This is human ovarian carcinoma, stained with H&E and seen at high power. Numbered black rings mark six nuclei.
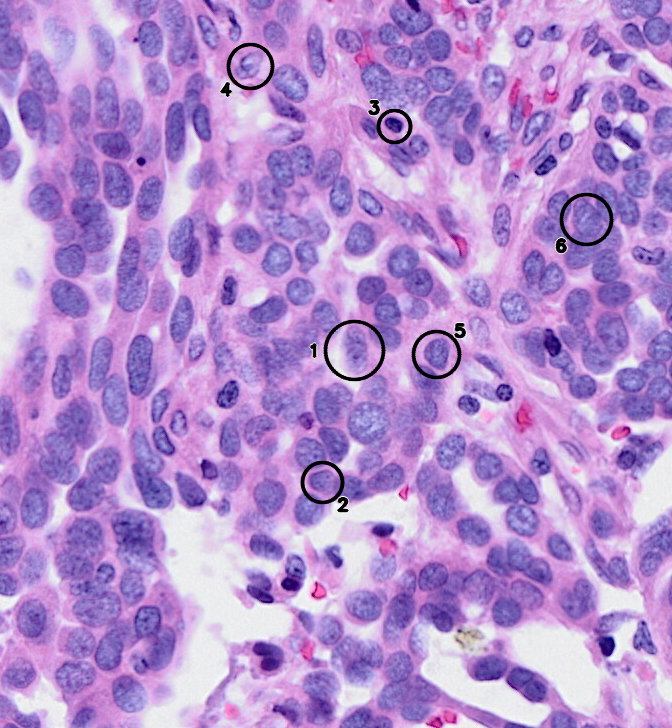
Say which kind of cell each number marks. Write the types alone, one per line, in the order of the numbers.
carcinoma cell
carcinoma cell
lymphocyte
fibroblast
carcinoma cell
carcinoma cell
